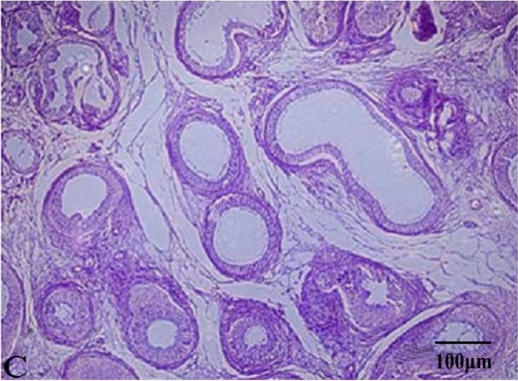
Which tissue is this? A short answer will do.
Epididymis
